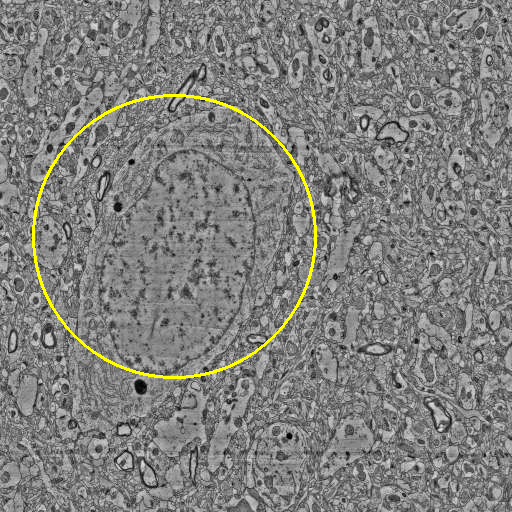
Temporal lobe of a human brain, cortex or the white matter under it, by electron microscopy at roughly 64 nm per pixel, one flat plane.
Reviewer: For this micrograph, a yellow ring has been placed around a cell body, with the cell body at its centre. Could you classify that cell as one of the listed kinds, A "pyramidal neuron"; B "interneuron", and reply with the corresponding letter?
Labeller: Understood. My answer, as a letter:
B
